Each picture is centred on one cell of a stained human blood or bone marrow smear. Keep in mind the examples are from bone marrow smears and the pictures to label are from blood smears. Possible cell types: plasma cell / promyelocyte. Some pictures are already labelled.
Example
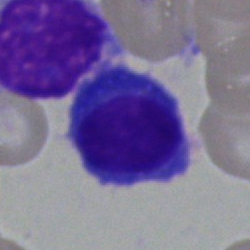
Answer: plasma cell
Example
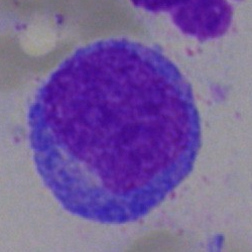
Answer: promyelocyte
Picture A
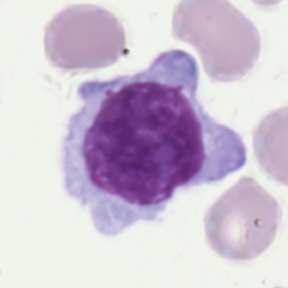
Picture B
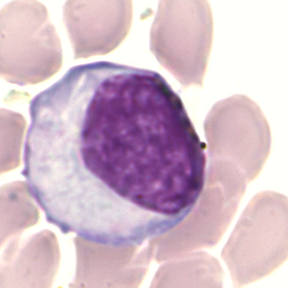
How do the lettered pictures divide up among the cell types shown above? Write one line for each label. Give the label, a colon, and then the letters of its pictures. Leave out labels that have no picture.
plasma cell: A, B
